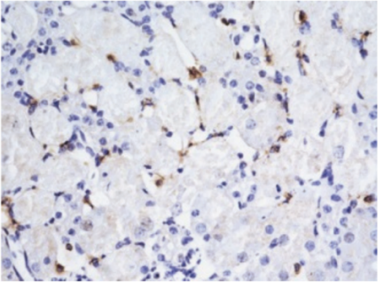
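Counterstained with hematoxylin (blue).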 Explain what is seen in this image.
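The tubular profiles are pale, with faint cytoplasm and sparse nuclei in many of them. The brown cells are small and irregular and lie in the narrow spaces among the tubules, alongside crowded blue nuclei.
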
